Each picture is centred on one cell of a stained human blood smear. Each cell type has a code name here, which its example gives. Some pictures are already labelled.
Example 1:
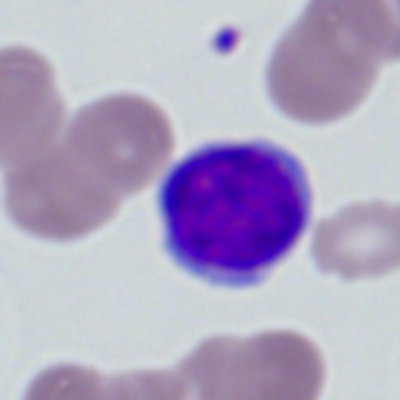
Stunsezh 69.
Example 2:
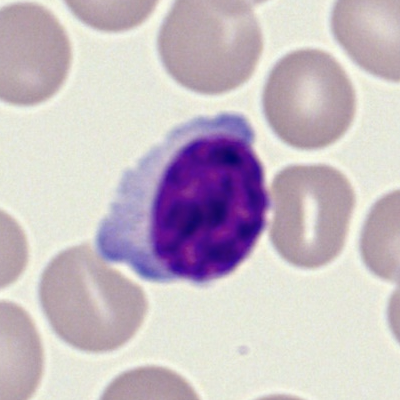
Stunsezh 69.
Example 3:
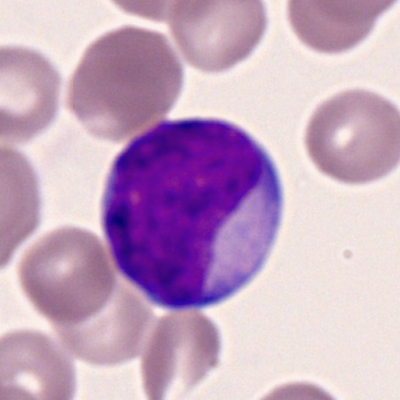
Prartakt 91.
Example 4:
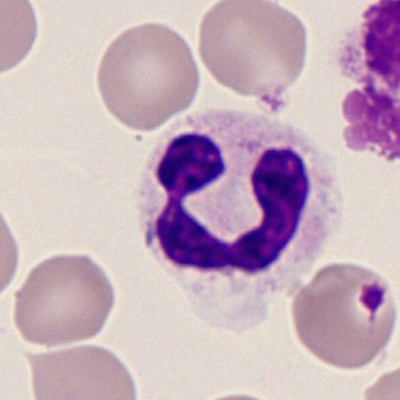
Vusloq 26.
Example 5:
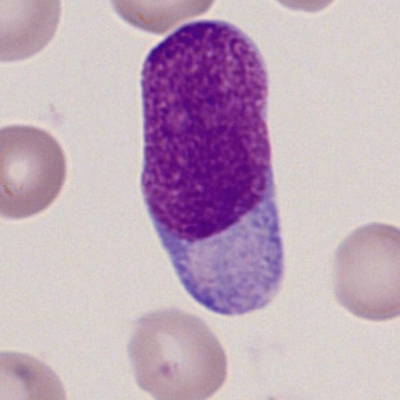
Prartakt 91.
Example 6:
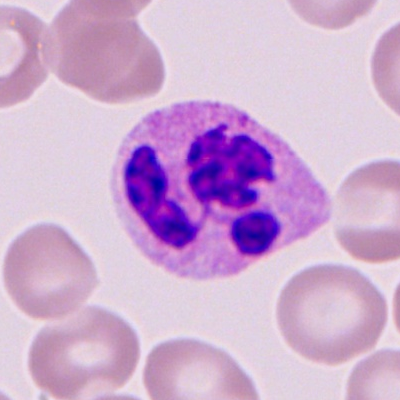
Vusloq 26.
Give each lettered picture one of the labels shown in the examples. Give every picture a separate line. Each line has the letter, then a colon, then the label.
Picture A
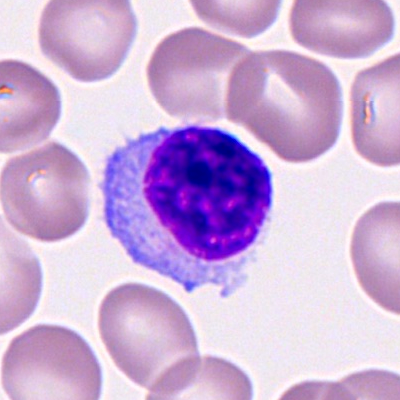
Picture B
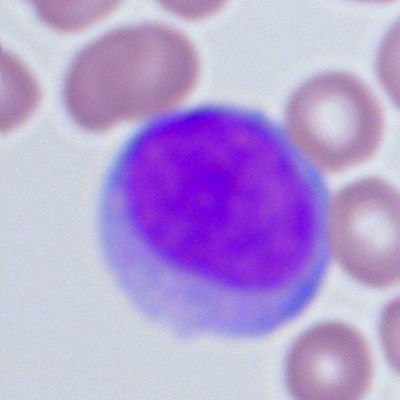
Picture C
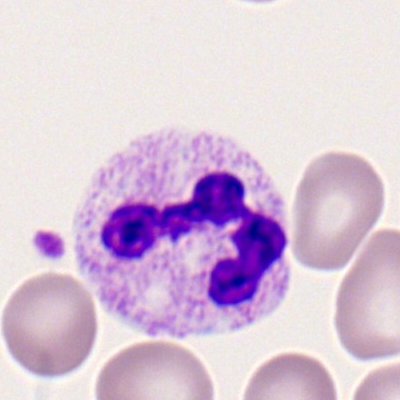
A: Stunsezh 69.
B: Prartakt 91.
C: Vusloq 26.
